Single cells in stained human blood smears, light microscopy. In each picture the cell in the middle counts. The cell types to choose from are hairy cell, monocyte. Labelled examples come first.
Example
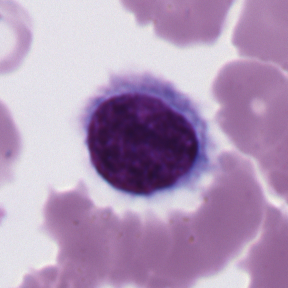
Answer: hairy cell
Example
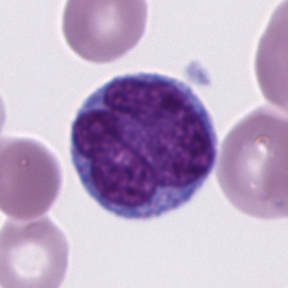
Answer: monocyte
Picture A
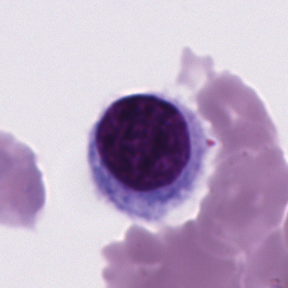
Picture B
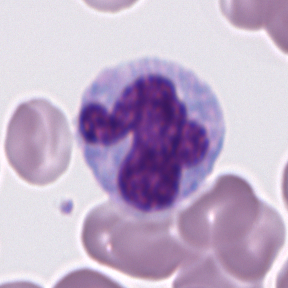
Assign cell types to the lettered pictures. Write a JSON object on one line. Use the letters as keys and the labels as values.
{"A": "hairy cell", "B": "monocyte"}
